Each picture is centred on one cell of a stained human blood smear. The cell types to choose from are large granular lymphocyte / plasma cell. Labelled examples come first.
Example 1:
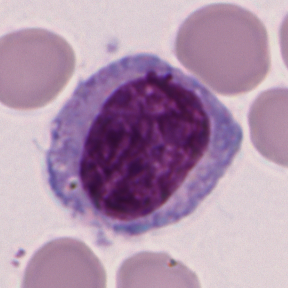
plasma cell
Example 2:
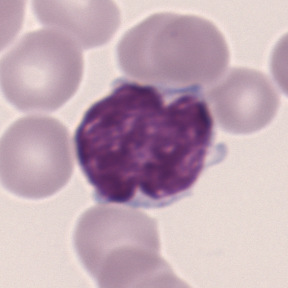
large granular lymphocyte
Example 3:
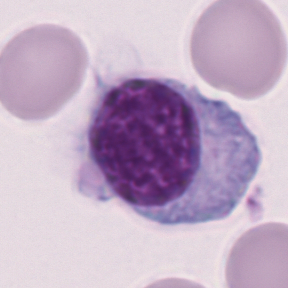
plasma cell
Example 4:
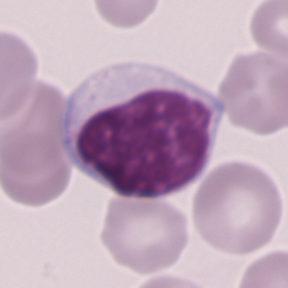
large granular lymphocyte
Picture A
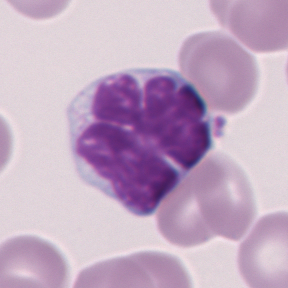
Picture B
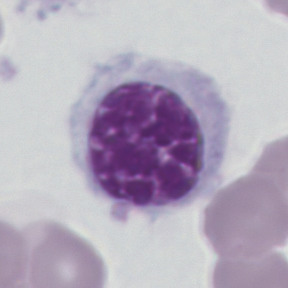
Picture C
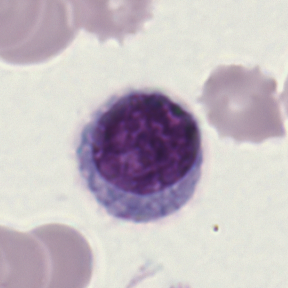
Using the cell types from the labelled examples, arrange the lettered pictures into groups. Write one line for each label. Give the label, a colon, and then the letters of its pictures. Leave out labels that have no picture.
large granular lymphocyte: A
plasma cell: B, C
